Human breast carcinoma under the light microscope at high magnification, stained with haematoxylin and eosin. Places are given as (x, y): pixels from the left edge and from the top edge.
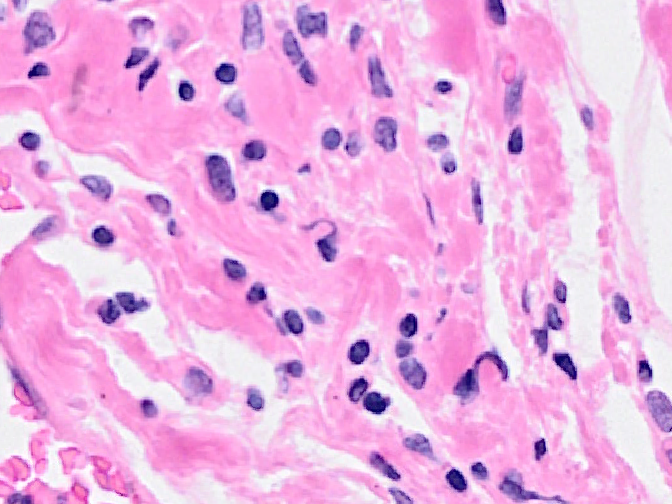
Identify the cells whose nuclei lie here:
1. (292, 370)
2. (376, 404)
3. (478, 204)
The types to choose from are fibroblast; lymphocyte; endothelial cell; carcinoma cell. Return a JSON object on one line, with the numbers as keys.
{"1": "lymphocyte", "2": "lymphocyte", "3": "fibroblast"}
